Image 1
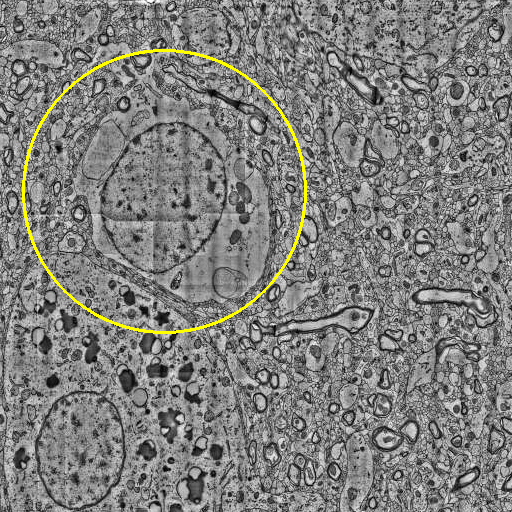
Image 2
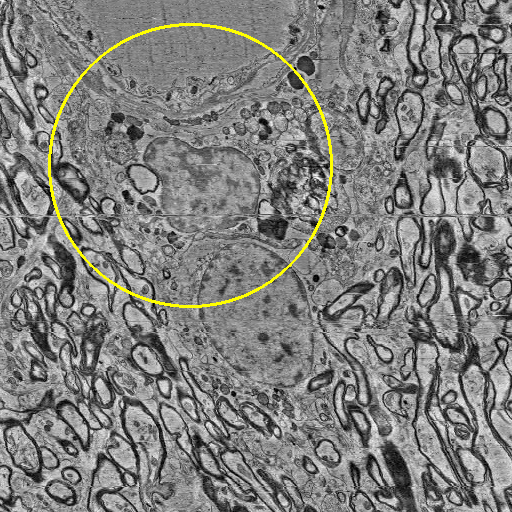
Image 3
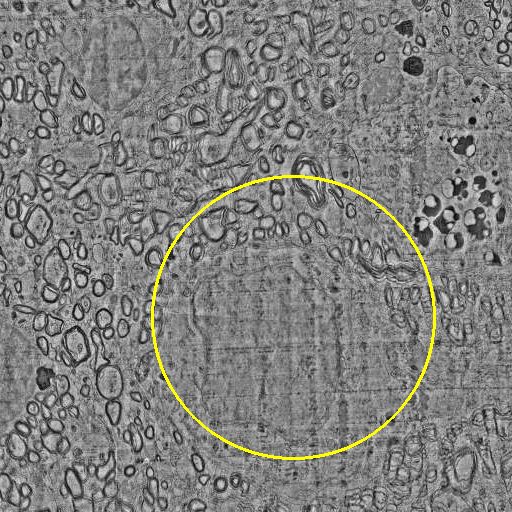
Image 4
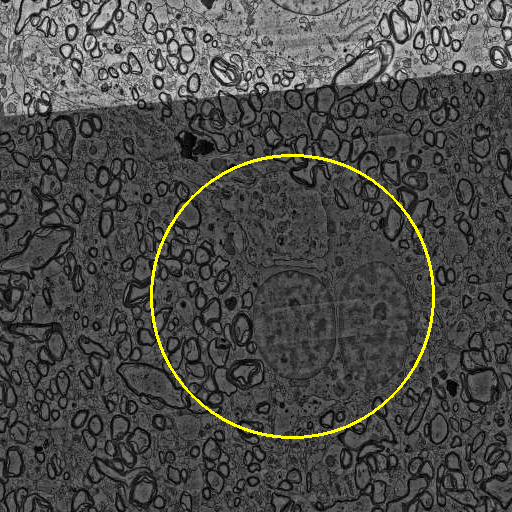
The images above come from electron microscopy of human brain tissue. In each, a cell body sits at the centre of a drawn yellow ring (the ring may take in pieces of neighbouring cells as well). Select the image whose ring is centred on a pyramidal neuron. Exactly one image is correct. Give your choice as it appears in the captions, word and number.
Image 3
